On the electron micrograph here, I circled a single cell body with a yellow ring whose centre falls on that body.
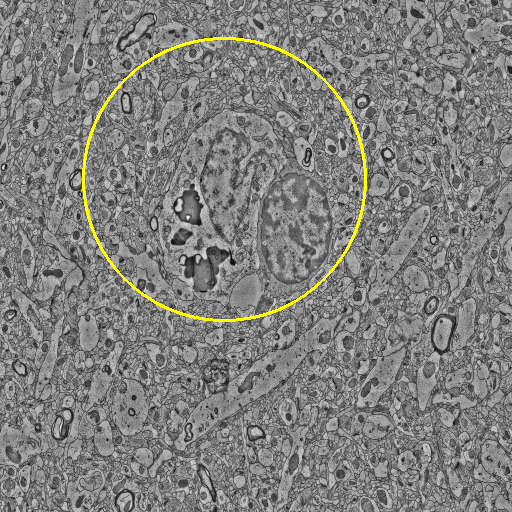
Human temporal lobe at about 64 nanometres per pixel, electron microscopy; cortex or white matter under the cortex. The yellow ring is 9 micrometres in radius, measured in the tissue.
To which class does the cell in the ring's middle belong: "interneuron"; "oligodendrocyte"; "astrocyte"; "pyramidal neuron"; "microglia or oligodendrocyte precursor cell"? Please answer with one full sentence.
In this picture, the cell body circled at the ring's centre belongs to an interneuron.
